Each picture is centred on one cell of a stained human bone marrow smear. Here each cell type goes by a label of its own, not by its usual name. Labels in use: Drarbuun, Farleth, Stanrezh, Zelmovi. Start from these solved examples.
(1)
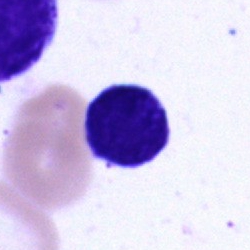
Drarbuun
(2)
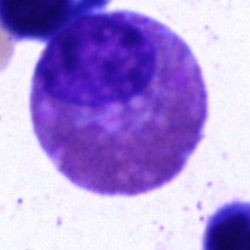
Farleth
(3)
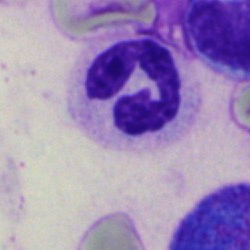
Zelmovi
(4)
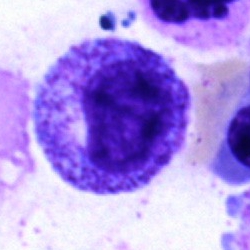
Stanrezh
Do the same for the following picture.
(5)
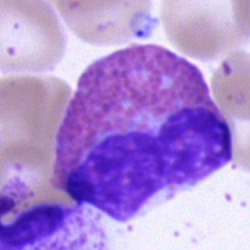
Farleth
